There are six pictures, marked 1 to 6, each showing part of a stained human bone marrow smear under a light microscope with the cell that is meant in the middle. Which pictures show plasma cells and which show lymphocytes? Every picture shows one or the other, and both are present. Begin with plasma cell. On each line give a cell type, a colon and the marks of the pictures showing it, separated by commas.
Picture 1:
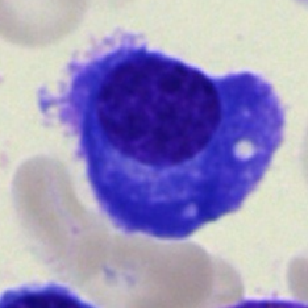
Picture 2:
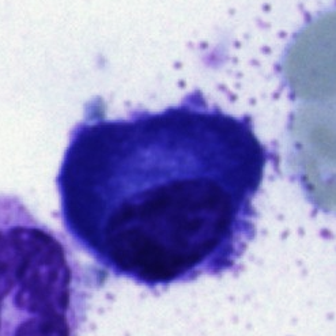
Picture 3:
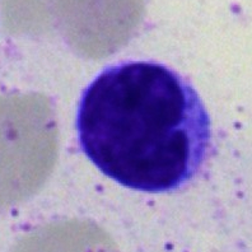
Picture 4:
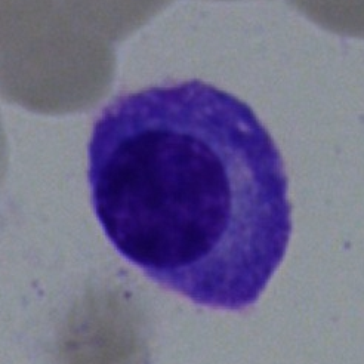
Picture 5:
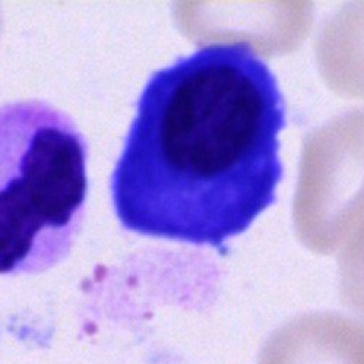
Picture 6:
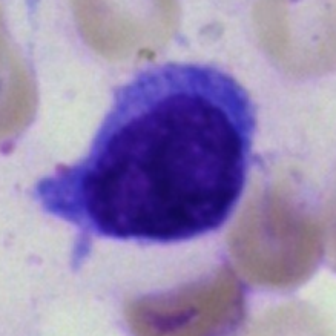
plasma cell: 1, 2, 4, 5
lymphocyte: 3, 6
